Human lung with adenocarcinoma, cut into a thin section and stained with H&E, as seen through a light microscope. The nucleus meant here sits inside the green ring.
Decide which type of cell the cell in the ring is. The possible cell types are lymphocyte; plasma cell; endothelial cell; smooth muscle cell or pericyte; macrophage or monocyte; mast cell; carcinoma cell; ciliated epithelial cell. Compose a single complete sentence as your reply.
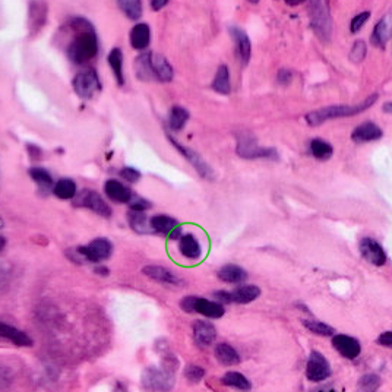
Placed in its cell category, the cell in the ring is a lymphocyte.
